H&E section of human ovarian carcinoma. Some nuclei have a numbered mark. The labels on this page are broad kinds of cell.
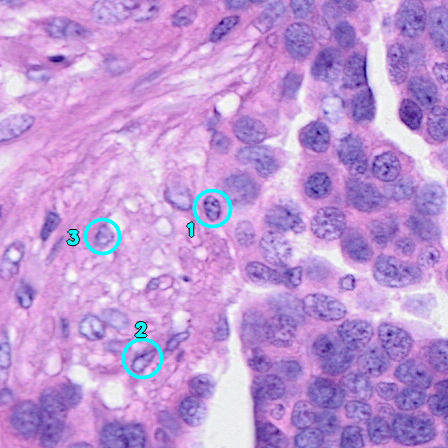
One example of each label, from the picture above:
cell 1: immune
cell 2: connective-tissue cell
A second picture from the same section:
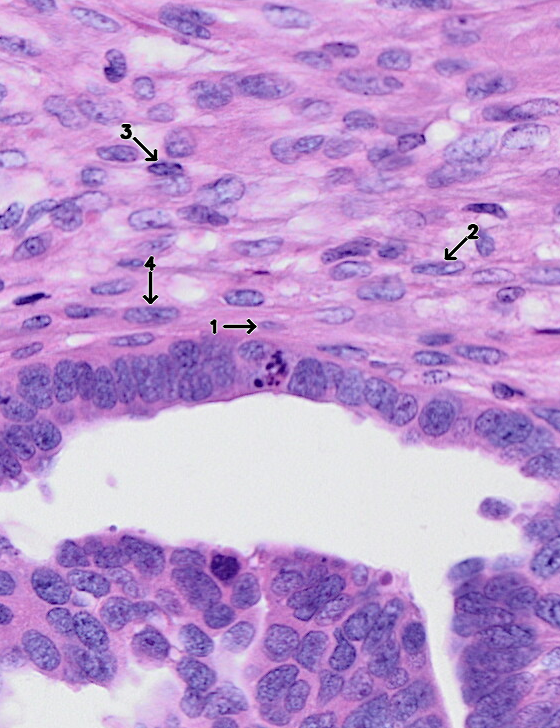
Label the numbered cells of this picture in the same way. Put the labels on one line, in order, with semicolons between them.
connective-tissue cell; connective-tissue cell; immune; connective-tissue cell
